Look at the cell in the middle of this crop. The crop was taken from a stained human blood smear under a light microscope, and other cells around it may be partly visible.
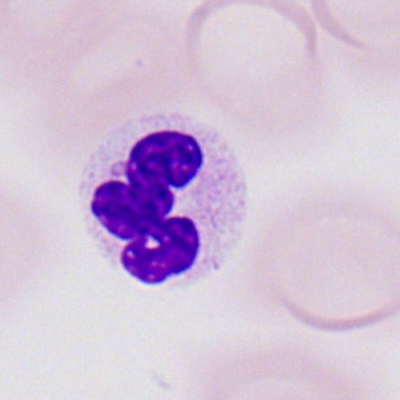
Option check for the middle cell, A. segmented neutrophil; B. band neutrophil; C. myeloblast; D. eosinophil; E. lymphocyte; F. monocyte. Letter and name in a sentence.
Option A holds, for the cell in the middle is a segmented neutrophil.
